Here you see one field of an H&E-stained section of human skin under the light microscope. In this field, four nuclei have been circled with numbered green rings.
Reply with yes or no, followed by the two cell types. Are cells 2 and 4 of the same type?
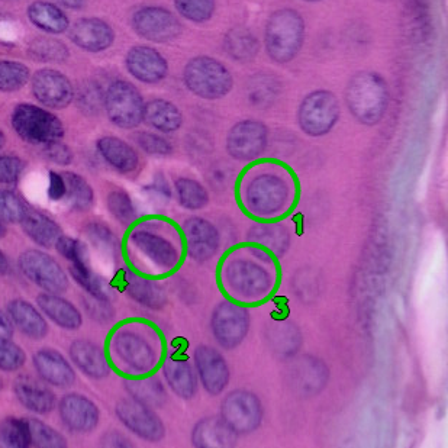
No, cell 2 is interpreted as a suprabasal keratinocyte, and cell 4 is interpreted as a basal keratinocyte.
